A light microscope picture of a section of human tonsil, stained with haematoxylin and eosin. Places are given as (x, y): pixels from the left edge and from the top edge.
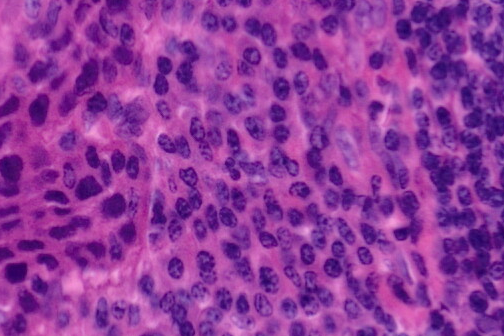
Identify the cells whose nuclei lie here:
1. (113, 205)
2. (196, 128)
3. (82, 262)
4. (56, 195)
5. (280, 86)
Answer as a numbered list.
1. squamous epithelial cell
2. plasma cell
3. squamous epithelial cell
4. squamous epithelial cell
5. plasma cell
